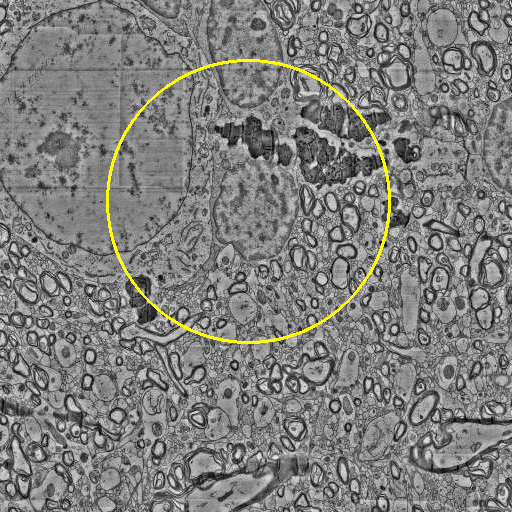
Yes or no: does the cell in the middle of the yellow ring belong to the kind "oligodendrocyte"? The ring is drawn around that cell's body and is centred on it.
yes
